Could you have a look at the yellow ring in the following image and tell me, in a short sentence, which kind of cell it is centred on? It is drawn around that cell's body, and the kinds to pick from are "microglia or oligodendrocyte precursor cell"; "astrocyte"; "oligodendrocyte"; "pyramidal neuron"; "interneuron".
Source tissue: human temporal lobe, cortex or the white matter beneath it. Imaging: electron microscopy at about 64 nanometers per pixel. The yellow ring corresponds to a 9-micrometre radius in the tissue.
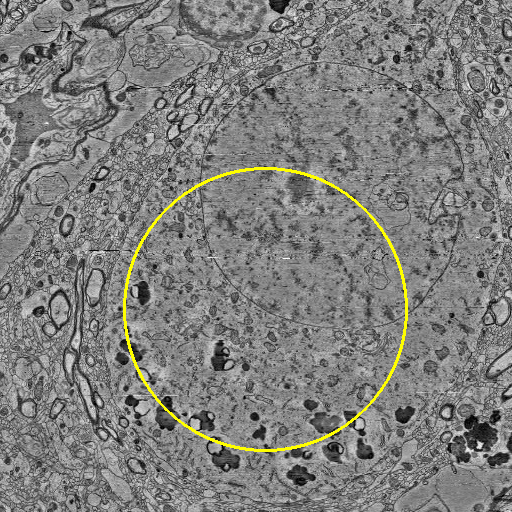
The ring is centred on the body of a pyramidal neuron.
